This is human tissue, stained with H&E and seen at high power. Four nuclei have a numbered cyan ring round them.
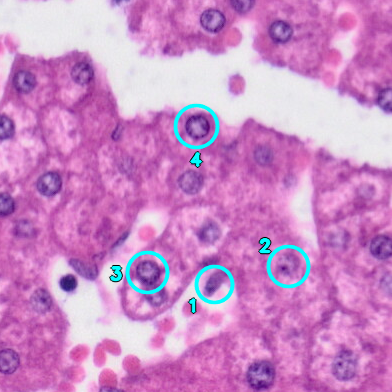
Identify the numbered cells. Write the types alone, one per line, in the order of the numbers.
Kupffer cell
hepatocyte
hepatocyte
hepatocyte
